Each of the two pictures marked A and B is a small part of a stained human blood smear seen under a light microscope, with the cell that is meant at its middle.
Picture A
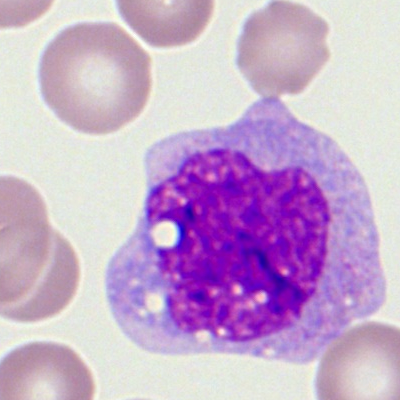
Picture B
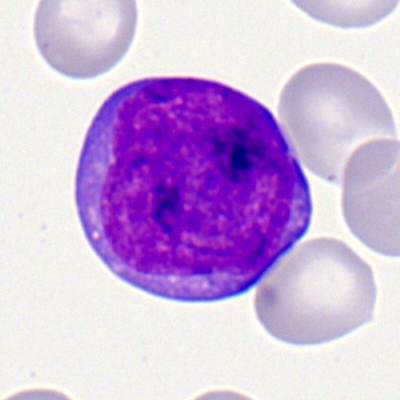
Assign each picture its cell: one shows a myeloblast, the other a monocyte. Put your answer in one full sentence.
Picture A is of a monocyte, and picture B is of a myeloblast.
